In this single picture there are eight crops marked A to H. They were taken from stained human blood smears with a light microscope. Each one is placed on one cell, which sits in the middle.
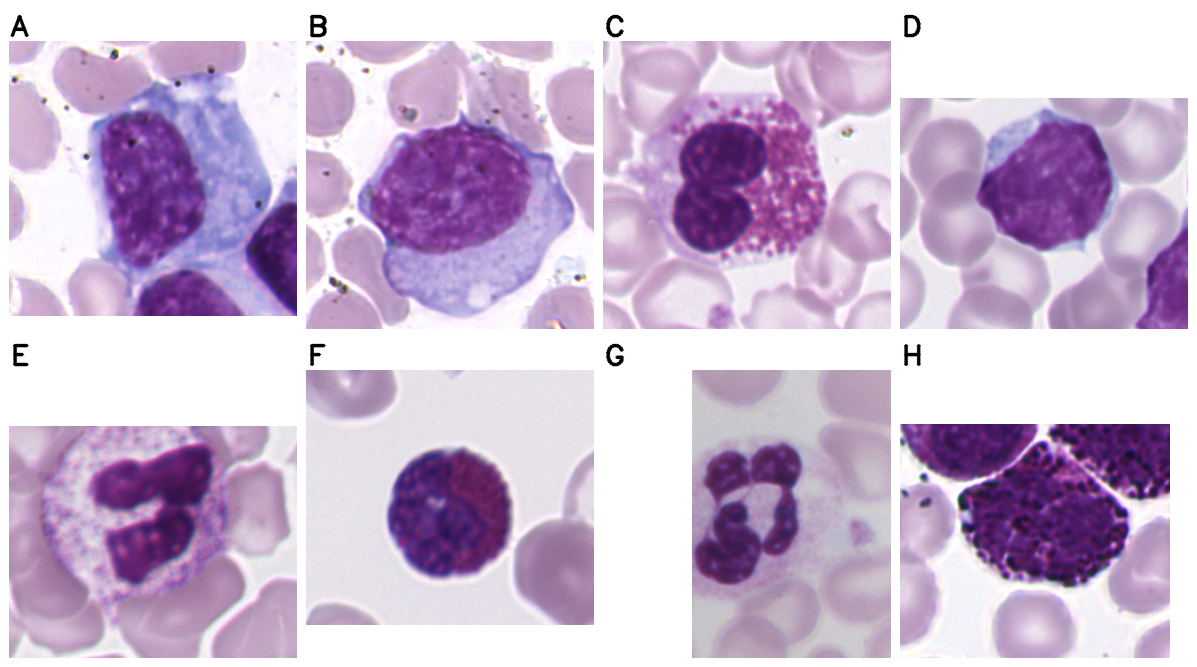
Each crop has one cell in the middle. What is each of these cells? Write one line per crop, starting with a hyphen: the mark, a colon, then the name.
- A: plasma cell
- B: plasma cell
- C: eosinophil
- D: typical lymphocyte
- E: segmented neutrophil
- F: eosinophil
- G: segmented neutrophil
- H: basophil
